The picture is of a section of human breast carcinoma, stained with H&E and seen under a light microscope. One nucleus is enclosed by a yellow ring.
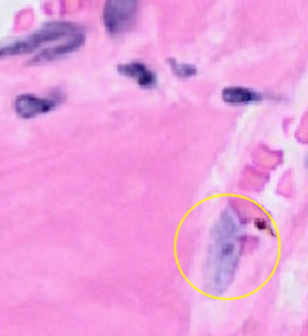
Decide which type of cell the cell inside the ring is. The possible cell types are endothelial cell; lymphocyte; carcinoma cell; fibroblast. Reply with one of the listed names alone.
endothelial cell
